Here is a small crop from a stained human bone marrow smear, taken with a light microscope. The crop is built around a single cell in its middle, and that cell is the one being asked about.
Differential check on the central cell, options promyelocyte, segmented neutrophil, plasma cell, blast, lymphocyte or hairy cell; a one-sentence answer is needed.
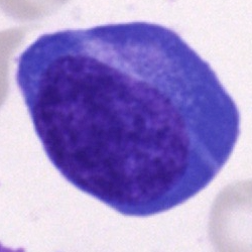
The middle of this crop is occupied by a plasma cell.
